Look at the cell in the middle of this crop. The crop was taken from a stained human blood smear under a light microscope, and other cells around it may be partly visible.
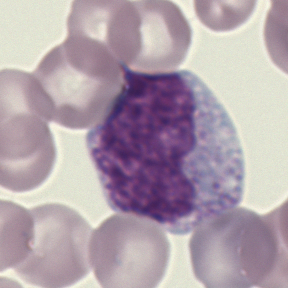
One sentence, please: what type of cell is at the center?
The cell in the middle of this crop is a myelocyte.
